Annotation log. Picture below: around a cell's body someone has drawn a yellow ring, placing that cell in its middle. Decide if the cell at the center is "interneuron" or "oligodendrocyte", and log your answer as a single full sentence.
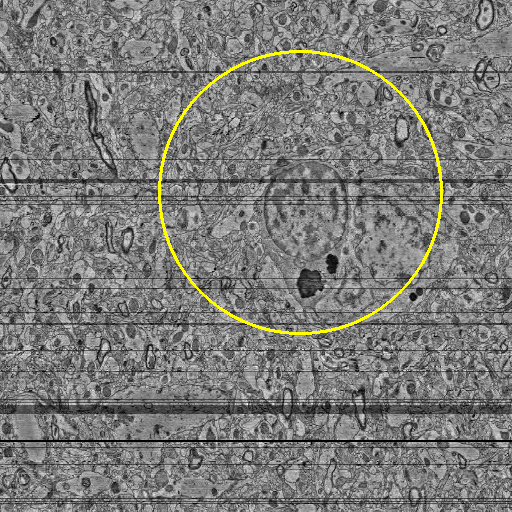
My entry records an oligodendrocyte as the cell sitting at the center of the yellow ring.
